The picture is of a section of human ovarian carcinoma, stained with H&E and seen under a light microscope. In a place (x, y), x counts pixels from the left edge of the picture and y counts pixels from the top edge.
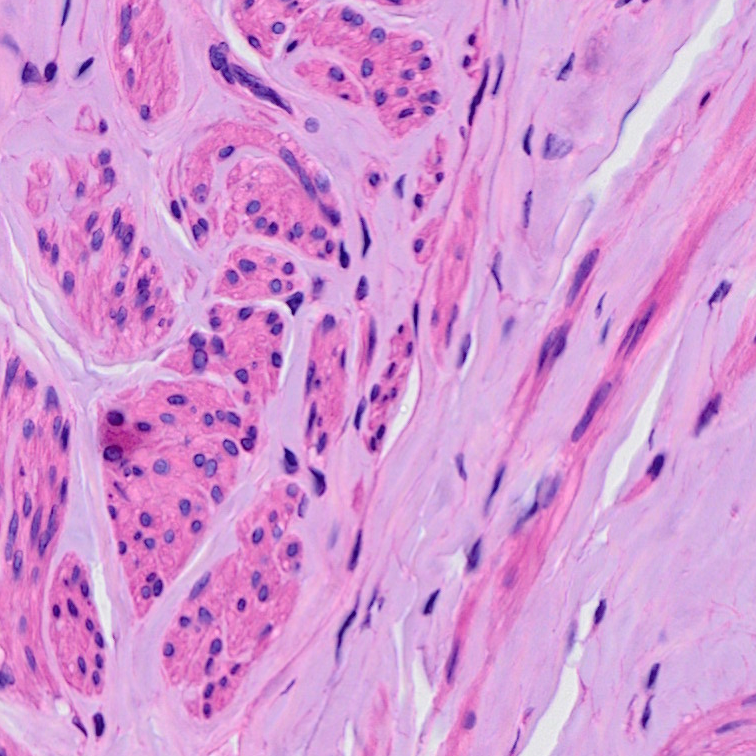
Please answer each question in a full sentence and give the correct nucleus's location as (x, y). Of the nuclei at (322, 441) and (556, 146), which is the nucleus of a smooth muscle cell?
Out of the two, it is the nucleus at (322, 441) that belongs to a smooth muscle cell.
